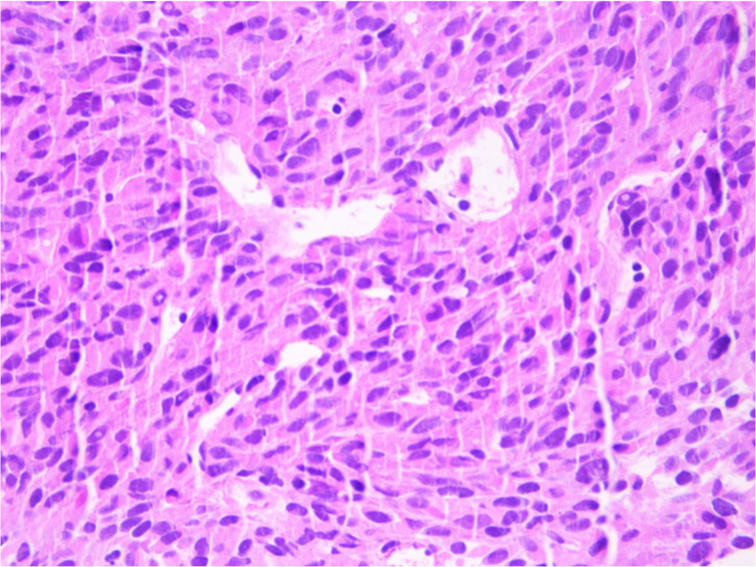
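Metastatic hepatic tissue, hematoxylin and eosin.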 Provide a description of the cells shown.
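This is a densely cellular tumor made up of spindle cells. The cells have abundant pink, eosinophilic cytoplasm, and their borders are indistinct, so the cytoplasm forms a continuous pink background. The purple nuclei are elongated to oval and some are hyperchromatic, and they vary in size. The cells are arranged in streaming, loosely parallel bundles. Thin-walled vascular spaces and clefts run between the bundles.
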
